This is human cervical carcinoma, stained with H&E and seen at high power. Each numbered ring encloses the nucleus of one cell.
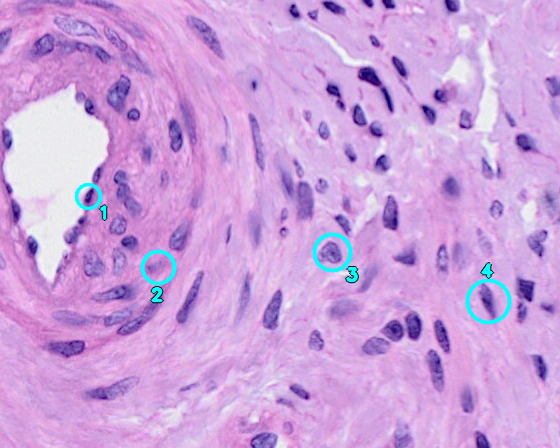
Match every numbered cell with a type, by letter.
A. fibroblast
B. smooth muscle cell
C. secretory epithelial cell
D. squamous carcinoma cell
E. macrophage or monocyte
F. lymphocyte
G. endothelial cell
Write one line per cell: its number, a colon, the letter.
1: G
2: B
3: A
4: A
